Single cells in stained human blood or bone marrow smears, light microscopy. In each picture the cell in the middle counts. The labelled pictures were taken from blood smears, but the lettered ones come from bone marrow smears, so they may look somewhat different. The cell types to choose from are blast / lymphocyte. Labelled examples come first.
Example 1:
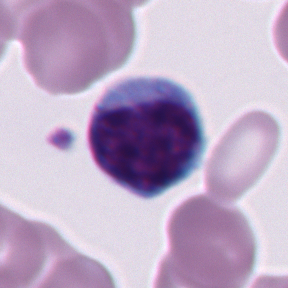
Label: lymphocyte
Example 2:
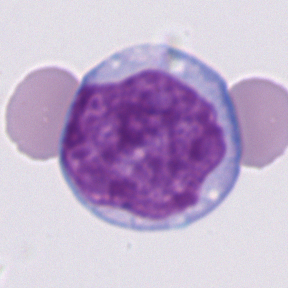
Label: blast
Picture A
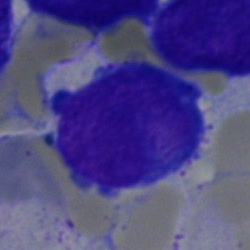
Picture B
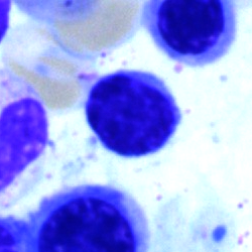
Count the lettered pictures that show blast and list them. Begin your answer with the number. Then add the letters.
Count: 1 (A)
